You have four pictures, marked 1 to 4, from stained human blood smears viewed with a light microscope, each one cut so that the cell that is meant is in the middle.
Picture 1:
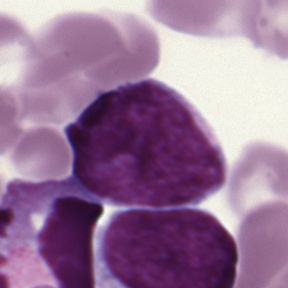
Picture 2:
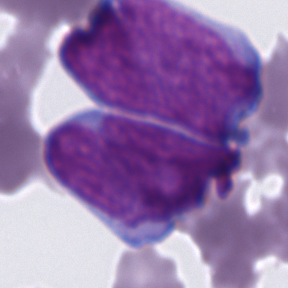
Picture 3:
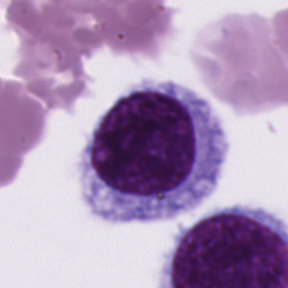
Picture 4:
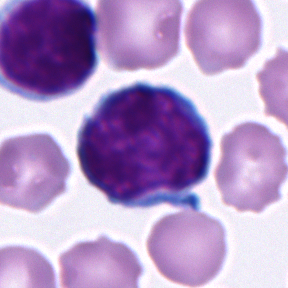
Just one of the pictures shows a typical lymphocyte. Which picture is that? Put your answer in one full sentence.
It is picture 4 that shows the typical lymphocyte.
